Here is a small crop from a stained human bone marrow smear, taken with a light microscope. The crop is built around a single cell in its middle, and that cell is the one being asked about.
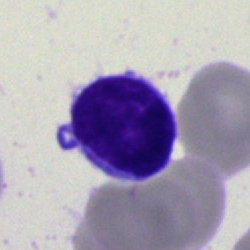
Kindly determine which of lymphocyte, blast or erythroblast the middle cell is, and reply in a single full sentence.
The crop centres on a single cell, and that cell is a lymphocyte.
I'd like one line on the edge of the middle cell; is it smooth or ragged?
A ragged or projecting edge replaces the smooth outline in this cell.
